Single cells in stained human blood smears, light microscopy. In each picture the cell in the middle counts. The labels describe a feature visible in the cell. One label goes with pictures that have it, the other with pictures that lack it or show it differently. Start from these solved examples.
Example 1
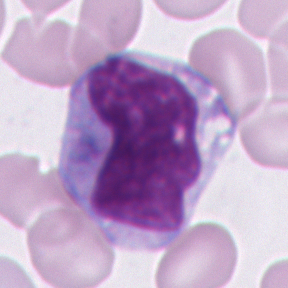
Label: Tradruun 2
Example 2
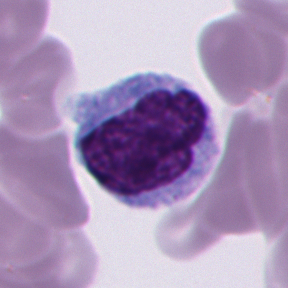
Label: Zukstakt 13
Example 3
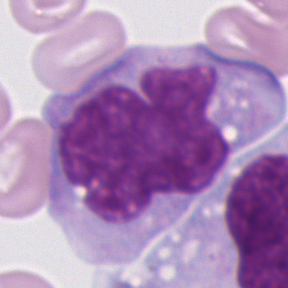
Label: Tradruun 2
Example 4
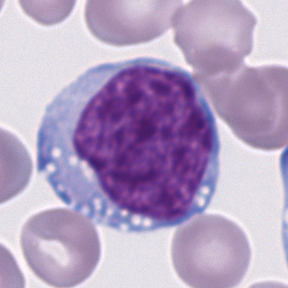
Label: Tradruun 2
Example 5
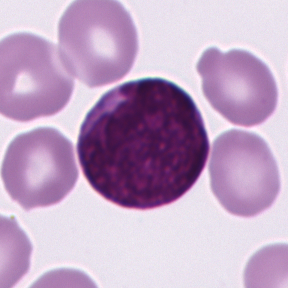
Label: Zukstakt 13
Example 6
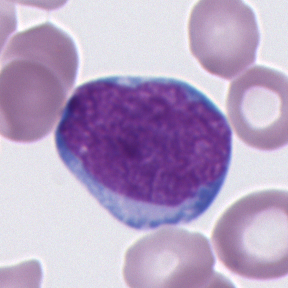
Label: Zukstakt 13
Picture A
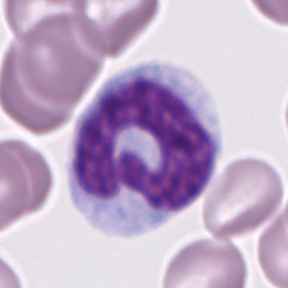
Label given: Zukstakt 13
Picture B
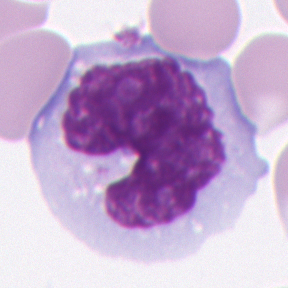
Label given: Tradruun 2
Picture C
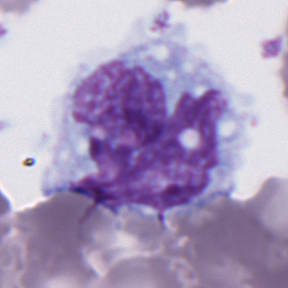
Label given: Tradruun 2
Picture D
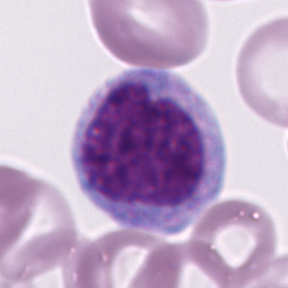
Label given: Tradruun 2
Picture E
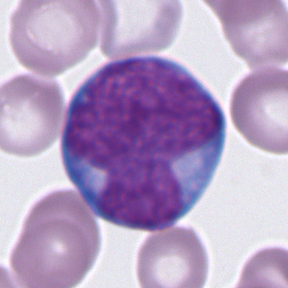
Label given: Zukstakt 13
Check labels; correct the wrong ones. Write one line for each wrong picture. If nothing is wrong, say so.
Wrong: D (Tradruun 2); correct: Zukstakt 13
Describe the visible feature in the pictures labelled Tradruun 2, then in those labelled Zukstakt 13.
Tradruun 2: vacuoles present; Zukstakt 13: no vacuoles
